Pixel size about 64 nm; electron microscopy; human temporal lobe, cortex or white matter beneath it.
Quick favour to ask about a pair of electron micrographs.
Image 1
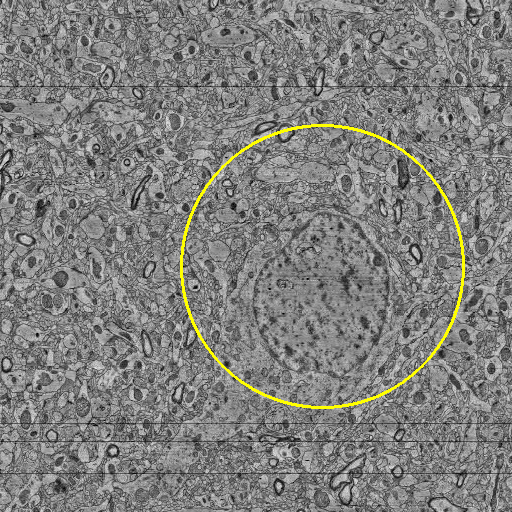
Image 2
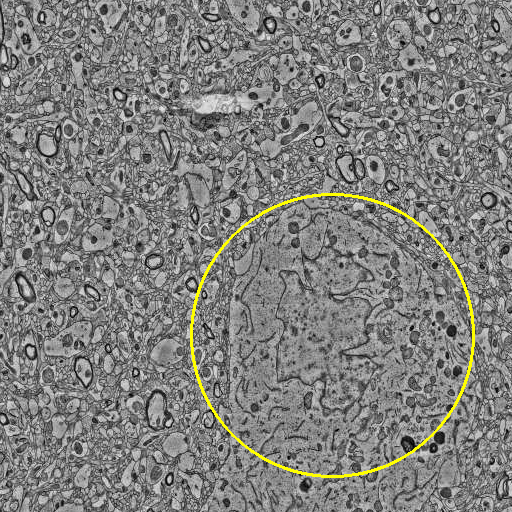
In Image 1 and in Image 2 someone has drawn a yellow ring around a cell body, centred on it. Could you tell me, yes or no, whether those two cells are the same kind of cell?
yes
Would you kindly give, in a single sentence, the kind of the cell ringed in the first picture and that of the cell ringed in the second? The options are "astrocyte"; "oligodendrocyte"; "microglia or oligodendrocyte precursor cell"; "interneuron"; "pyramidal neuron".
Both rings mark an interneuron, one in each picture.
